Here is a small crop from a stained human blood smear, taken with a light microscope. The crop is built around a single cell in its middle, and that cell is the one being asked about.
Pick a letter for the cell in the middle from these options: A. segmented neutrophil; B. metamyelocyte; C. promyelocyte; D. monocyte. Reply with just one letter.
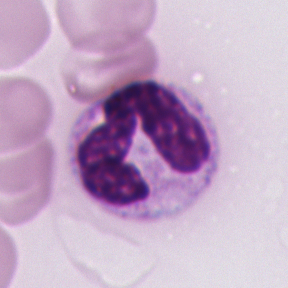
A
